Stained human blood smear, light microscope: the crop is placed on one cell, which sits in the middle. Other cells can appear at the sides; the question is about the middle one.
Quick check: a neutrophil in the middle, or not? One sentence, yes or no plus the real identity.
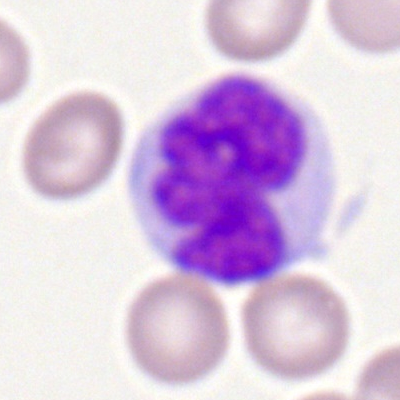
No, at the middle of the crop is a monocyte, not a neutrophil.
